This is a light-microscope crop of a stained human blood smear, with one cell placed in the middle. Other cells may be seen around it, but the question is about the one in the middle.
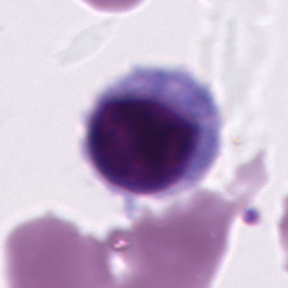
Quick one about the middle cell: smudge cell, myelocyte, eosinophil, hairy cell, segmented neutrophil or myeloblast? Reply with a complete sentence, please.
The cell at the middle of the crop is recognized as a hairy cell.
